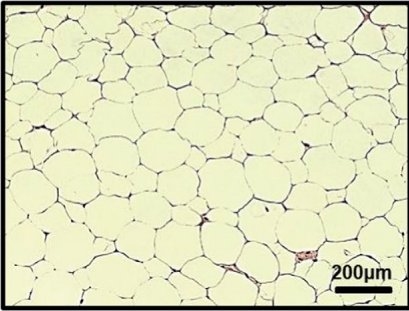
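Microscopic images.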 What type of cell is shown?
Adipocyte.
